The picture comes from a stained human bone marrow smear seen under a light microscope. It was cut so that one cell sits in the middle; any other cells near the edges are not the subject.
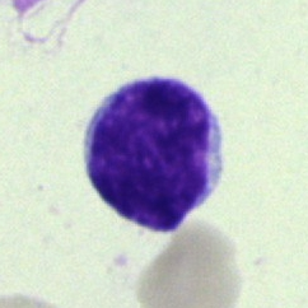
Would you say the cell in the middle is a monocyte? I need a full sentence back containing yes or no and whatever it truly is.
No, what the centre of the crop shows is a lymphocyte, not a monocyte.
